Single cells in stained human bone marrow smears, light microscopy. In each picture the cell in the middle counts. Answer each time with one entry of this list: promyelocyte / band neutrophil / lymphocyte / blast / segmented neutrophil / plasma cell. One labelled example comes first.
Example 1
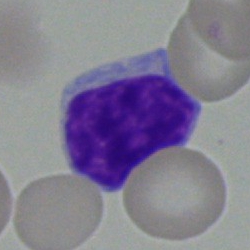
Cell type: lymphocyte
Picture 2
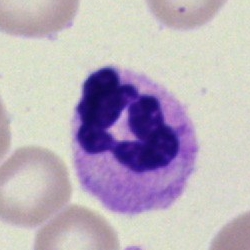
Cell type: segmented neutrophil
